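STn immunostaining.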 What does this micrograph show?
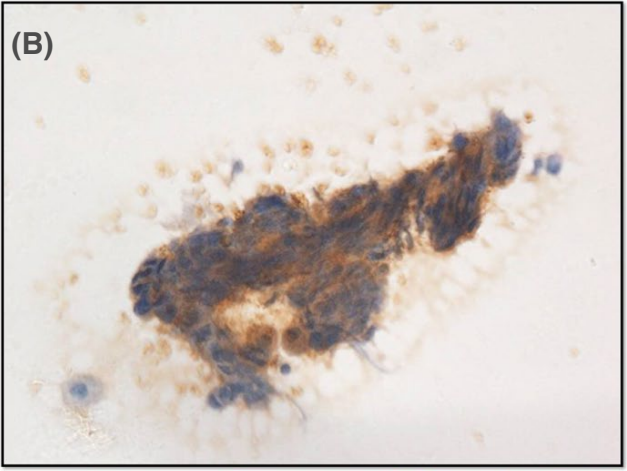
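The cells overlap in a dense, irregular group with dark, crowded, variably sized nuclei, and a few cells break away at the edges. Brown staining fills the cytoplasm across much of the cluster.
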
